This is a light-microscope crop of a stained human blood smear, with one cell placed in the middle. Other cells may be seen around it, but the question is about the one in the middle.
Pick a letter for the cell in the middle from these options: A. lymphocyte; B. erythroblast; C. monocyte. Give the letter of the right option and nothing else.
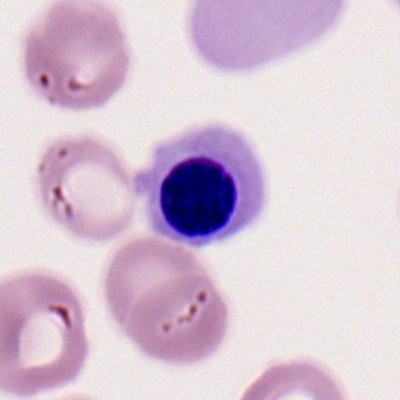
B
